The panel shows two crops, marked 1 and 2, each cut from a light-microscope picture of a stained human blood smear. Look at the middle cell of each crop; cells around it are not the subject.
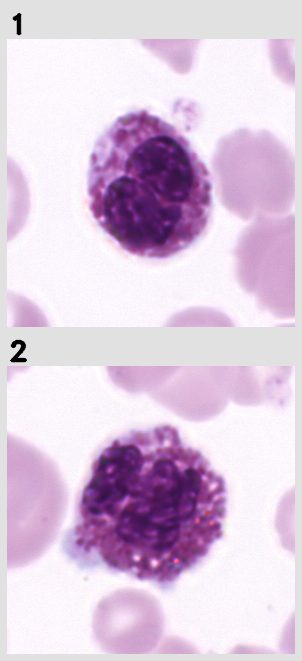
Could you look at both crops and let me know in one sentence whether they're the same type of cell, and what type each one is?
Yes, eosinophils are seen in both crops.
